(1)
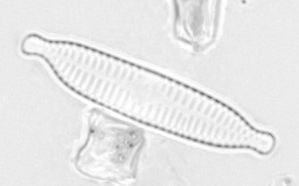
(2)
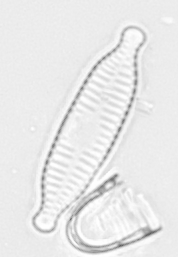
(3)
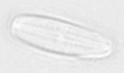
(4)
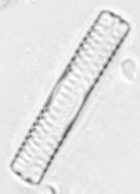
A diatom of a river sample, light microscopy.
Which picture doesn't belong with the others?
Picture 3.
